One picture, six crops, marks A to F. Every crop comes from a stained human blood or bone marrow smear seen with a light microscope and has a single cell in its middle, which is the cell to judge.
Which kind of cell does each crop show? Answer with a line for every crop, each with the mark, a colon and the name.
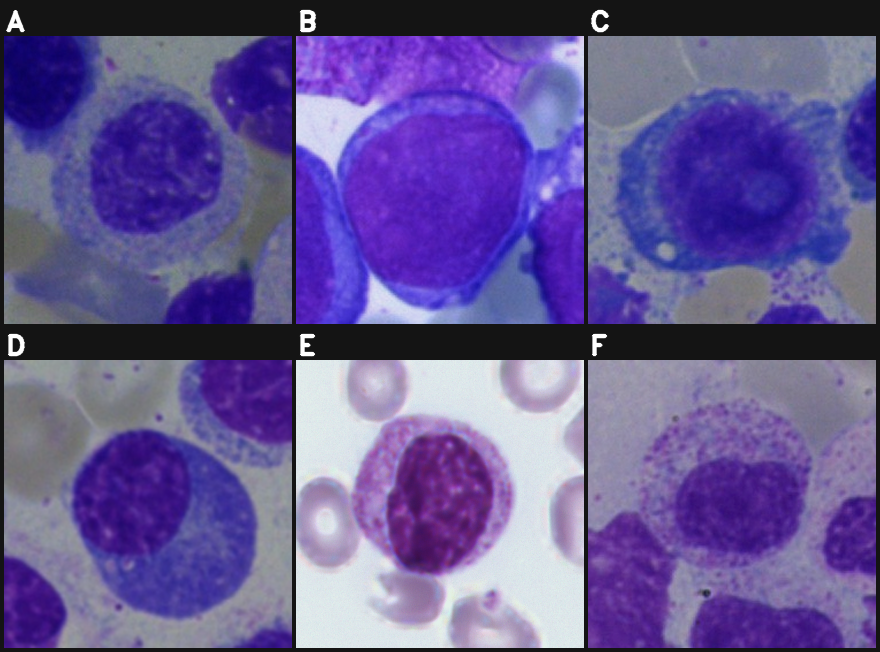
A: myelocyte
B: blast
C: plasma cell
D: plasma cell
E: myelocyte
F: myelocyte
